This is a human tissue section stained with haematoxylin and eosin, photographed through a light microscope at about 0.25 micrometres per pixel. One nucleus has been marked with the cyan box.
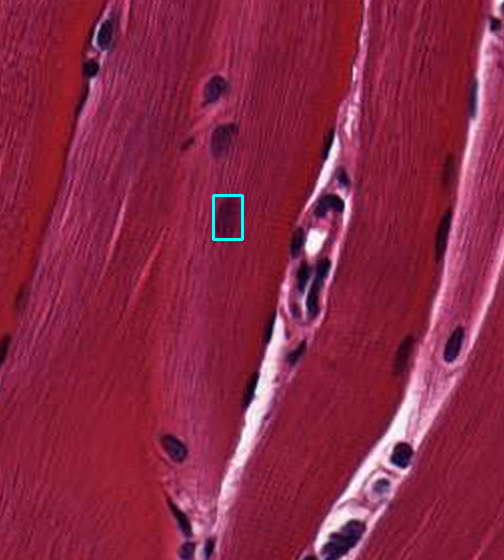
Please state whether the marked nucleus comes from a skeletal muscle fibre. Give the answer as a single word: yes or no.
yes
